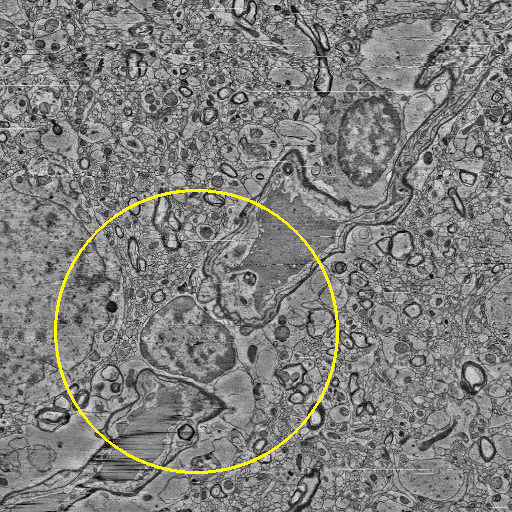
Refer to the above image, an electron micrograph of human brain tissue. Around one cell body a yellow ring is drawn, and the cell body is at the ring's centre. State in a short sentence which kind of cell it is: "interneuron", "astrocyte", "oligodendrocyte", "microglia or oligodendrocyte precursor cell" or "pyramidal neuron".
The centre of the ring falls on a microglial cell or oligodendrocyte precursor cell.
